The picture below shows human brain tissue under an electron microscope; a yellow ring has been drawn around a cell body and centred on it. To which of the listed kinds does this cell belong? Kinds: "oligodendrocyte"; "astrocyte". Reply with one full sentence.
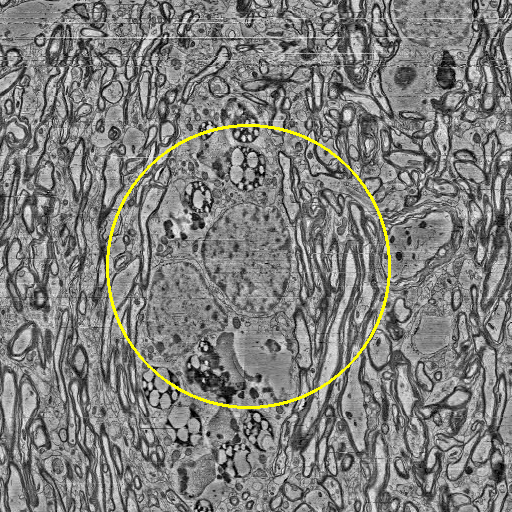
It is an astrocyte that the yellow ring in the picture is centred on.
